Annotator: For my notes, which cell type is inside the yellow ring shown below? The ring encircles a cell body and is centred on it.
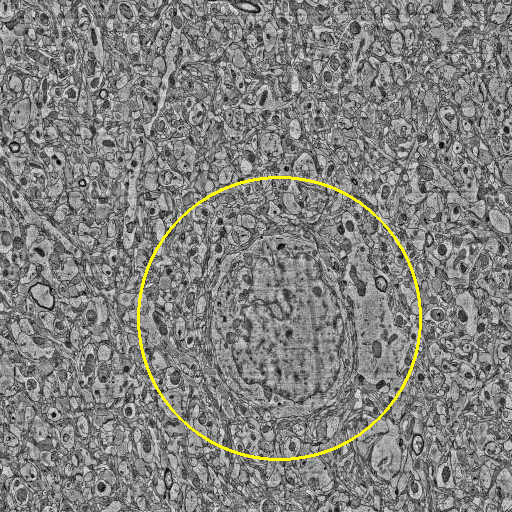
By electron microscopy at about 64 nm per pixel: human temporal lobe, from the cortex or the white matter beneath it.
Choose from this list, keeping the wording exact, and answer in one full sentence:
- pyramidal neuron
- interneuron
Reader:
At the centre of the yellow ring there is an interneuron, as shown in the picture.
